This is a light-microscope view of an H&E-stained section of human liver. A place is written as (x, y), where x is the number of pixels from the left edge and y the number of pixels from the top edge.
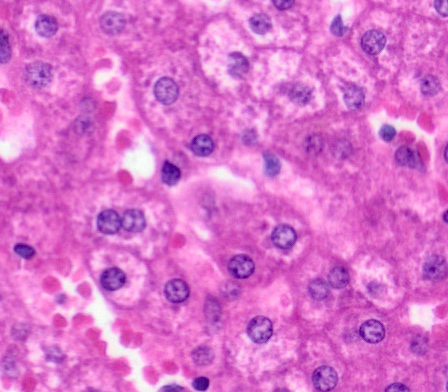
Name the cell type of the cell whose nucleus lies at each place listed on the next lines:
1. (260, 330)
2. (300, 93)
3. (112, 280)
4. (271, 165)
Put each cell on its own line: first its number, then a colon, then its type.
1: hepatocyte
2: hepatocyte
3: hepatocyte
4: endothelial cell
